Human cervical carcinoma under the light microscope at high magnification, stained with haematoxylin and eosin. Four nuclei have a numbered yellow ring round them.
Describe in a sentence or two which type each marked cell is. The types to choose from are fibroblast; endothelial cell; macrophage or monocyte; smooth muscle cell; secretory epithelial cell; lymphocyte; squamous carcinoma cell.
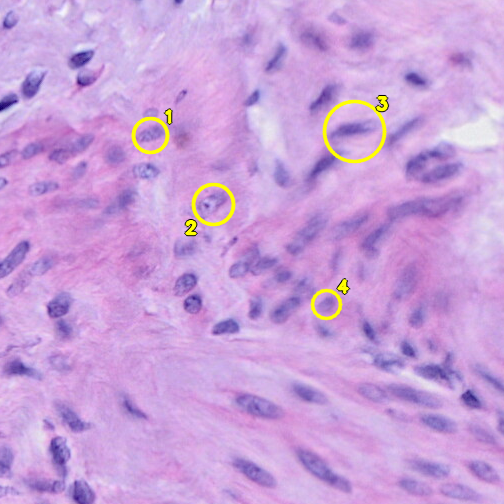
Cell 1 is a smooth muscle cell, cell 2 is a smooth muscle cell, cell 3 is a fibroblast and cell 4 is a smooth muscle cell.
